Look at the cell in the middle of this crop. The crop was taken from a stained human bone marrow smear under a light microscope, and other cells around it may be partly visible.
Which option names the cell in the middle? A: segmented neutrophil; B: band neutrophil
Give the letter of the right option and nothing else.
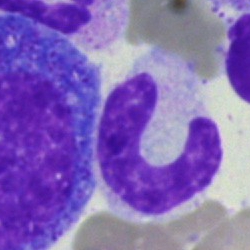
B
